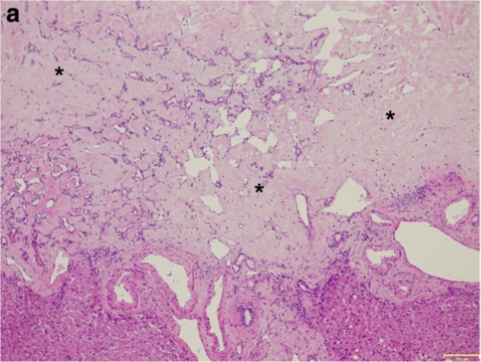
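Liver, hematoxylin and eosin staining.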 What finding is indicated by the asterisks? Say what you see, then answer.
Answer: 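Sclerosed portion. The asterisks lie in a pale pink, glassy area with very few nuclei. This area contrasts with the denser, more cellular tissue at the bottom of the panel.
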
